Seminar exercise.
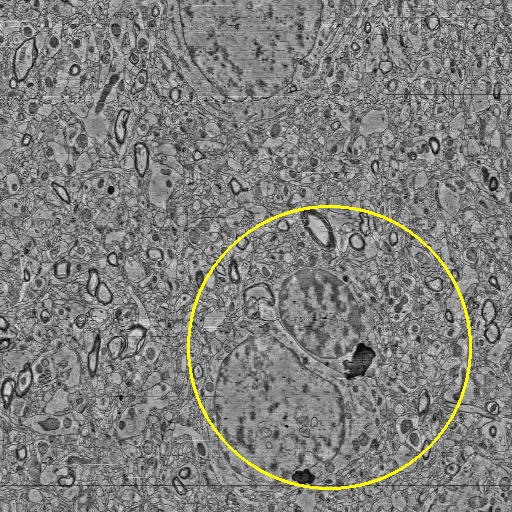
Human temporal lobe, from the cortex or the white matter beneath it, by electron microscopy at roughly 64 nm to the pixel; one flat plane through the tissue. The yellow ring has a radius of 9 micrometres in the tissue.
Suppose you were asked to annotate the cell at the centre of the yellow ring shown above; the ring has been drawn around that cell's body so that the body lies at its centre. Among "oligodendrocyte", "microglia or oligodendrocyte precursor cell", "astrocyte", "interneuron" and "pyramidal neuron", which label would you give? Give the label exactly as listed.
oligodendrocyte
